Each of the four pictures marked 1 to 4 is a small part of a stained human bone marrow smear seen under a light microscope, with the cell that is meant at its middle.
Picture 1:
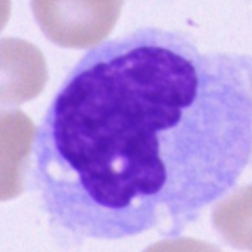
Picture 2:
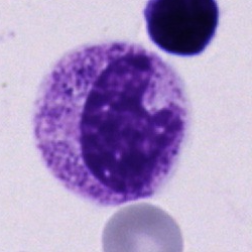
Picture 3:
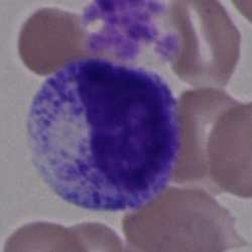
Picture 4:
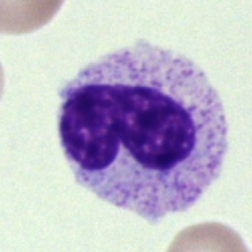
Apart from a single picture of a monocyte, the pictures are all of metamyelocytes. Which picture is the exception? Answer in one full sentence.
The cell in picture 1 is the monocyte.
